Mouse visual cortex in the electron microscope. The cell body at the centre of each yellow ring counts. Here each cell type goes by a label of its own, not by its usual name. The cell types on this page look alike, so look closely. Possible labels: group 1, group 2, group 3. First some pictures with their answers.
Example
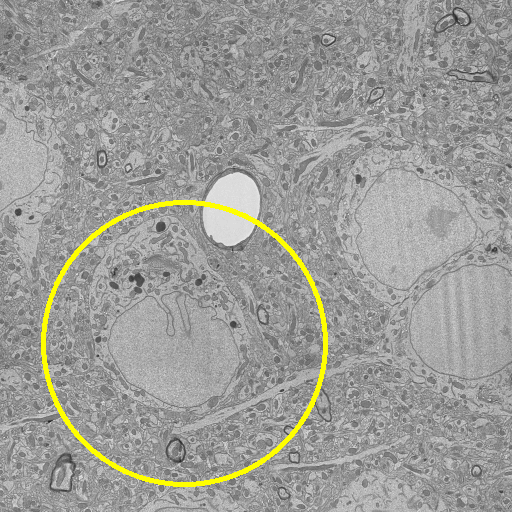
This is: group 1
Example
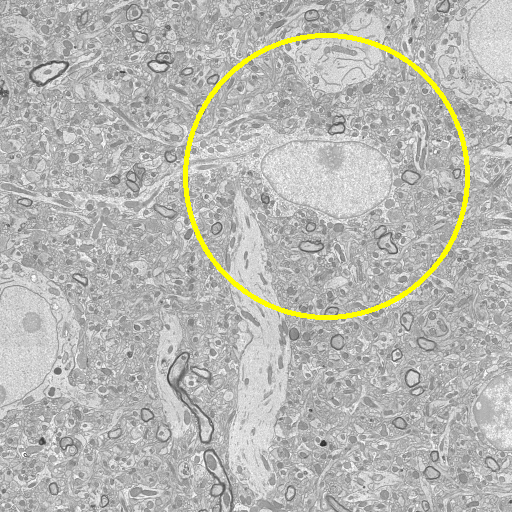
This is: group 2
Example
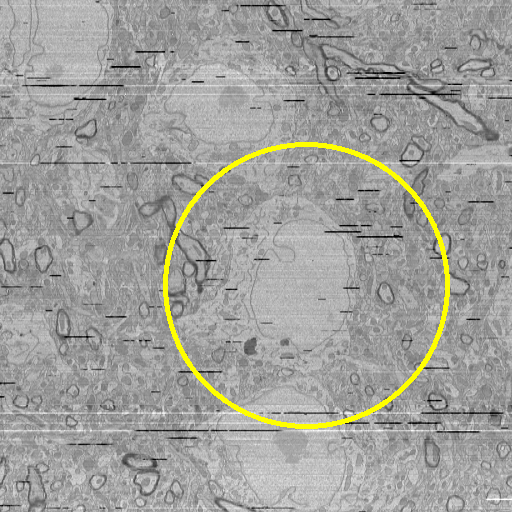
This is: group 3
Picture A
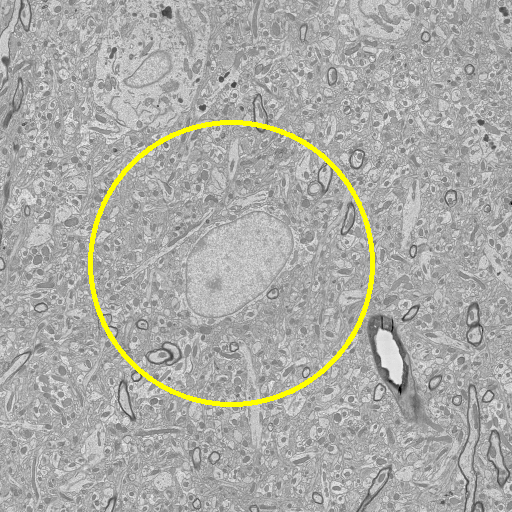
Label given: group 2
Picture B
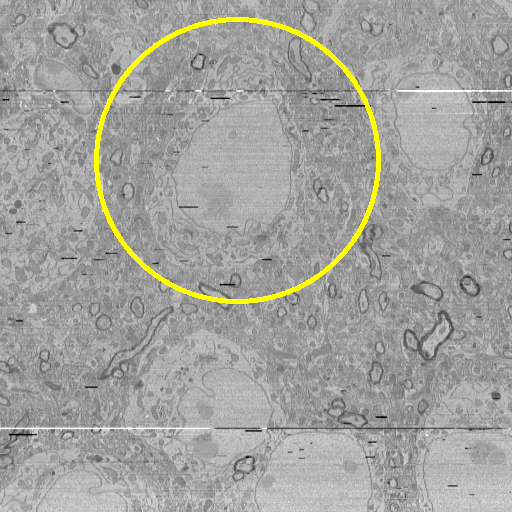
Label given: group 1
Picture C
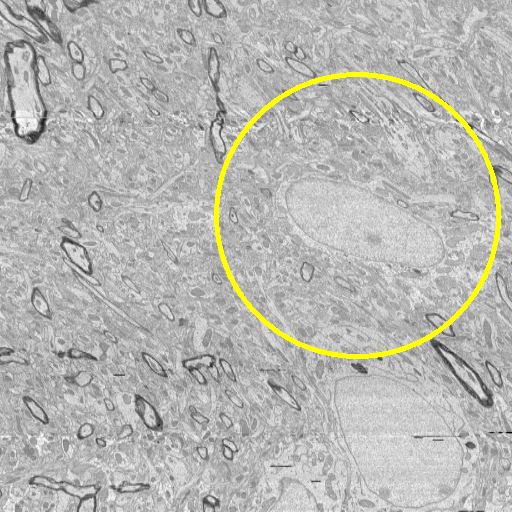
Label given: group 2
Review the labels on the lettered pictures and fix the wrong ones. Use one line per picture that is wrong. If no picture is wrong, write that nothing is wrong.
None of the labels needs changing.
